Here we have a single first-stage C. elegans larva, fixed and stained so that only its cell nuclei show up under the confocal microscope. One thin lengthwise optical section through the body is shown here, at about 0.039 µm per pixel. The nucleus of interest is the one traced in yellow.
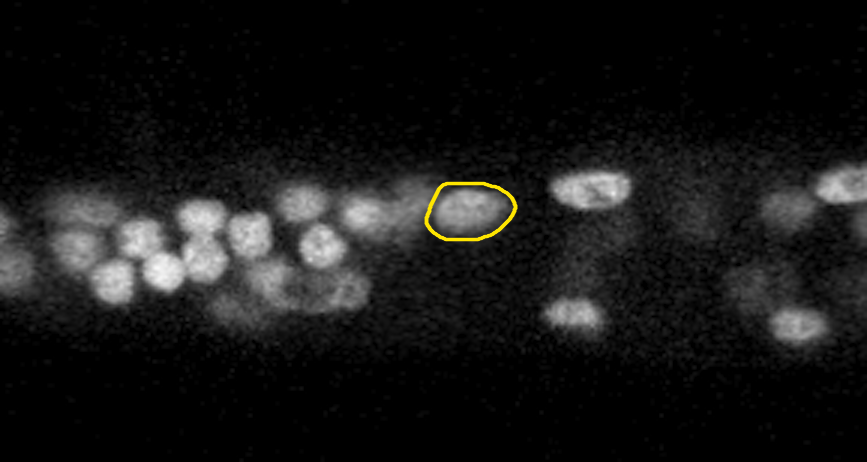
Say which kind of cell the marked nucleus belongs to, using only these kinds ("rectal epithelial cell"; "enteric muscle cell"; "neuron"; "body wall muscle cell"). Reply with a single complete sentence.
The nucleus comes from an enteric muscle cell.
